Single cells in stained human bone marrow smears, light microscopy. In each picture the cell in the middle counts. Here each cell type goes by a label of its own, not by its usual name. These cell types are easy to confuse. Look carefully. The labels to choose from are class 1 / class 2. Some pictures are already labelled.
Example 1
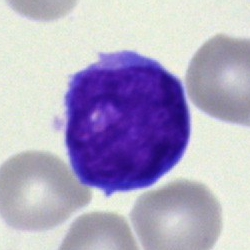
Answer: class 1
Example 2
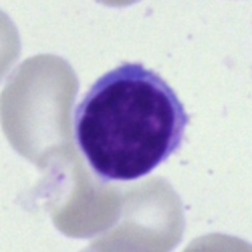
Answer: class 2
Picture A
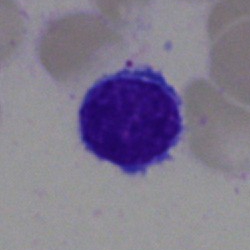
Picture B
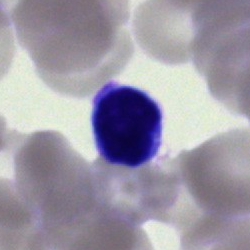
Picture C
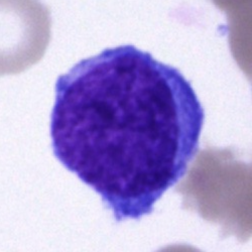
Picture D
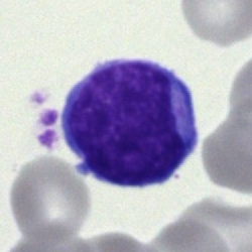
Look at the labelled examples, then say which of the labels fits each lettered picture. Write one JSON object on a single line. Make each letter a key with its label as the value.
{"A": "class 2", "B": "class 2", "C": "class 1", "D": "class 1"}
